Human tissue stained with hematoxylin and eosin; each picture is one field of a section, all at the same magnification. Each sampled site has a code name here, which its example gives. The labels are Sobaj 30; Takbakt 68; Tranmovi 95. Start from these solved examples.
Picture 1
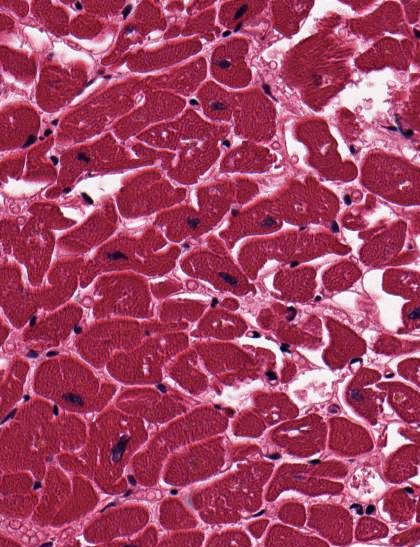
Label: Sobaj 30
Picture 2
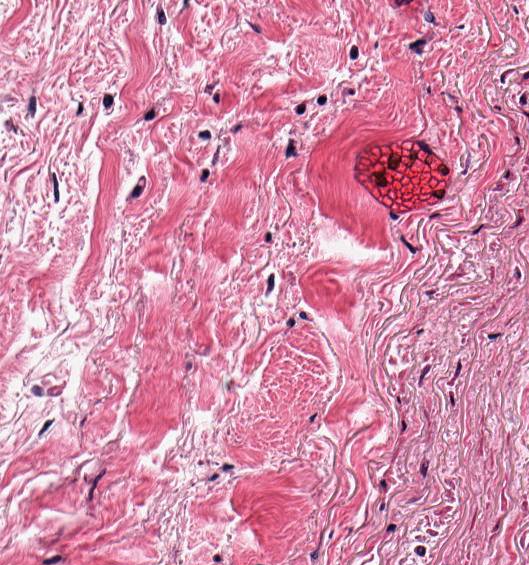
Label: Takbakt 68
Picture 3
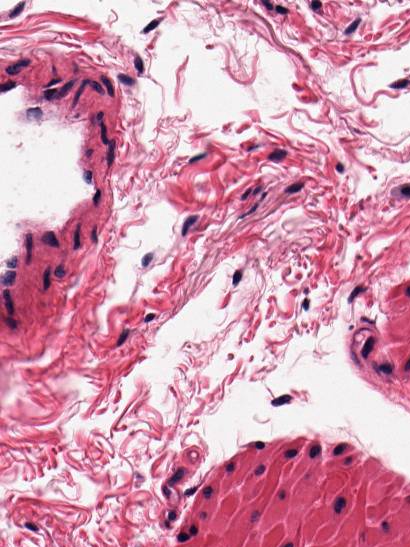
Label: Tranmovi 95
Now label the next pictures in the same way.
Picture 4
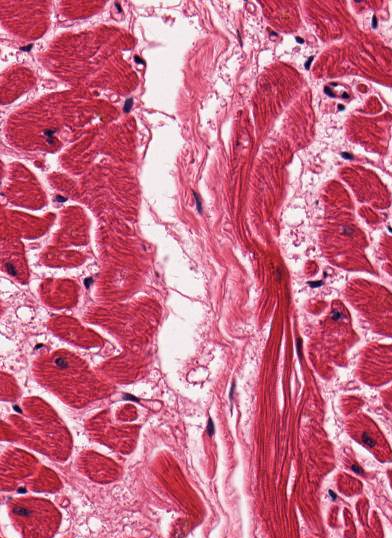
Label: Sobaj 30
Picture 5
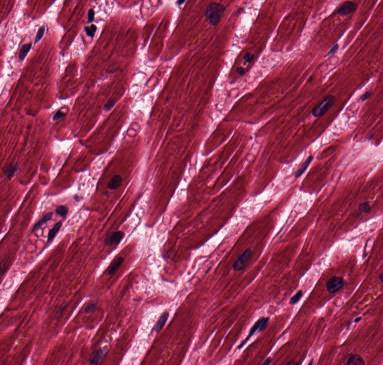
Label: Sobaj 30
